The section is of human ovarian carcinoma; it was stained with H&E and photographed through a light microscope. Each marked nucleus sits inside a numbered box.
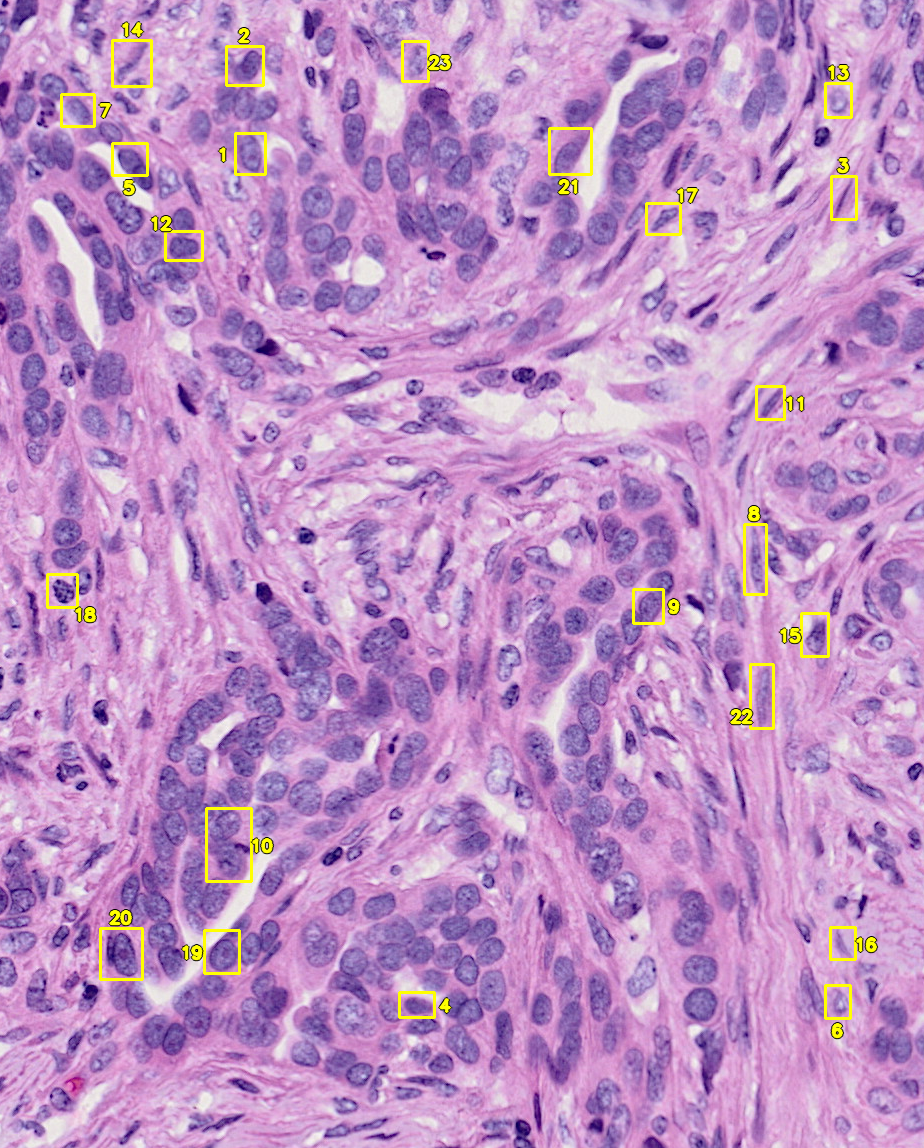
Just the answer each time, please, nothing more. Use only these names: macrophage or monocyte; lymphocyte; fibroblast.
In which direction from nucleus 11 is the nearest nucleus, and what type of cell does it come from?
a fibroblast, to the left of nucleus 11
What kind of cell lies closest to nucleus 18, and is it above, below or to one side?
a macrophage or monocyte above and to the right of nucleus 18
